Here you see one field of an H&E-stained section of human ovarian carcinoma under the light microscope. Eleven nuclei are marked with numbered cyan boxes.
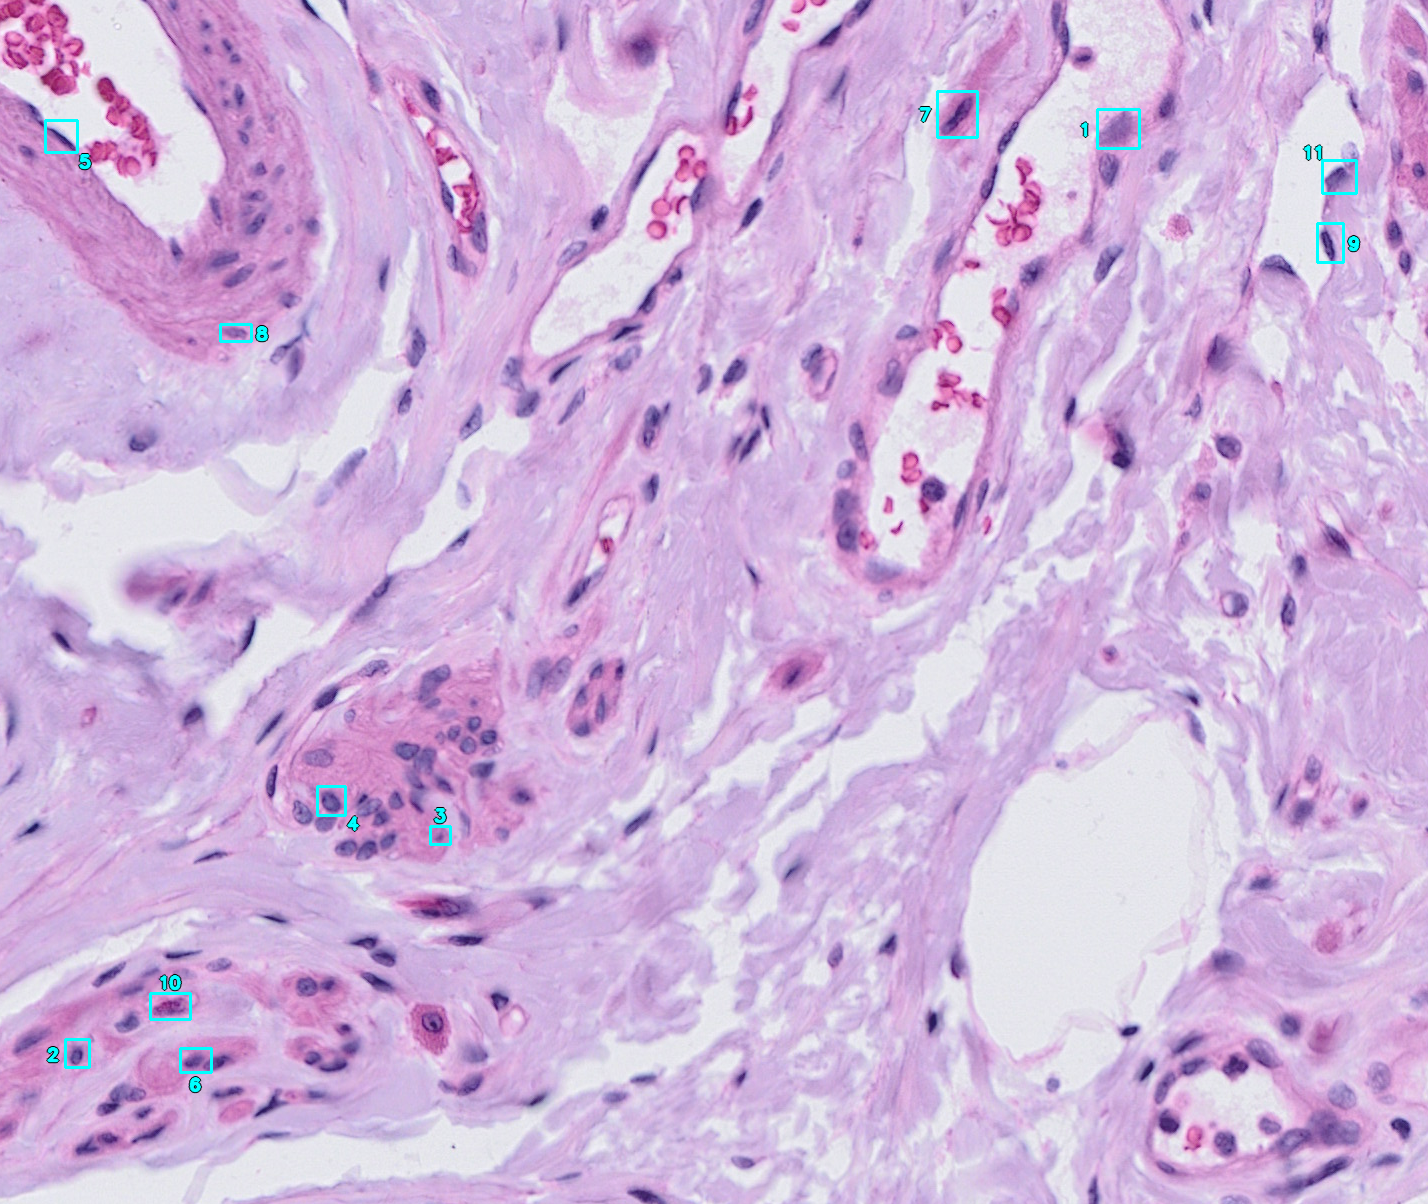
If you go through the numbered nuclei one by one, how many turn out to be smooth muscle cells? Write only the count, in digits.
6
